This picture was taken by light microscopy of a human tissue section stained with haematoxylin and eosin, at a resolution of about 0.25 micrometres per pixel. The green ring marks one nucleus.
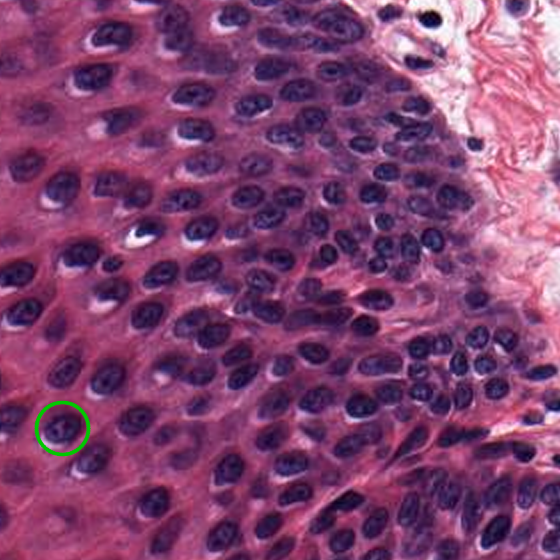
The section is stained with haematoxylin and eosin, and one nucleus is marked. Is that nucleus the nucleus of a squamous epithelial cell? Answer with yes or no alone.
yes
